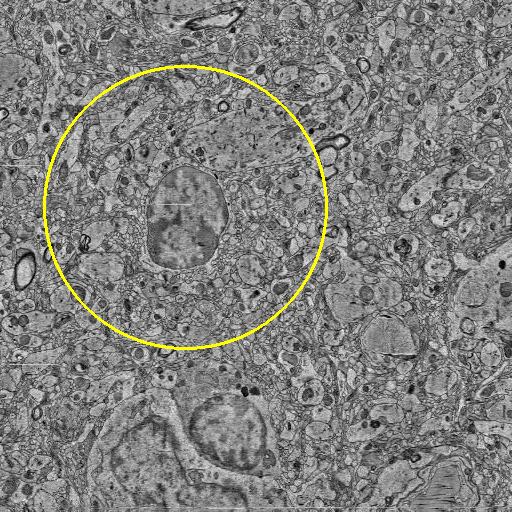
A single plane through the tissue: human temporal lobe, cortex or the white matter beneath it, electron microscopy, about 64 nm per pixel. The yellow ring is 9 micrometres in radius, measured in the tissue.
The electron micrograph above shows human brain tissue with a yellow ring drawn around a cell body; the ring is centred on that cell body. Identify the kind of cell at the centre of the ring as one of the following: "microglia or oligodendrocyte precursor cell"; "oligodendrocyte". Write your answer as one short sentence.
The cell at the centre of the ring is a microglial cell or oligodendrocyte precursor cell.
